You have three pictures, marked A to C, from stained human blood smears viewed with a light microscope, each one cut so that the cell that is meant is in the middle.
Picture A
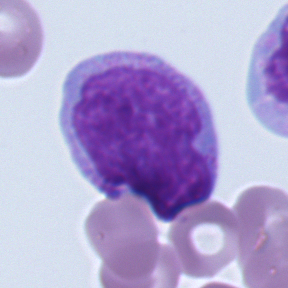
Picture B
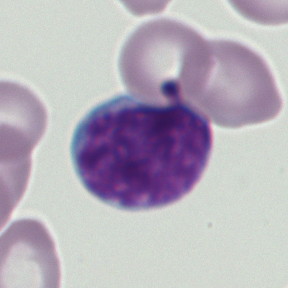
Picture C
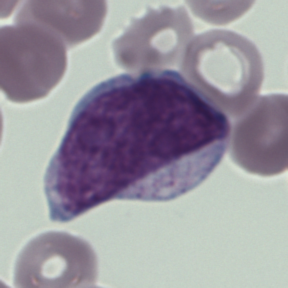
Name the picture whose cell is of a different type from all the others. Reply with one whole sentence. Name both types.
Picture B is the odd one out: it shows a myeloblast, while the others show atypical promyelocytes.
